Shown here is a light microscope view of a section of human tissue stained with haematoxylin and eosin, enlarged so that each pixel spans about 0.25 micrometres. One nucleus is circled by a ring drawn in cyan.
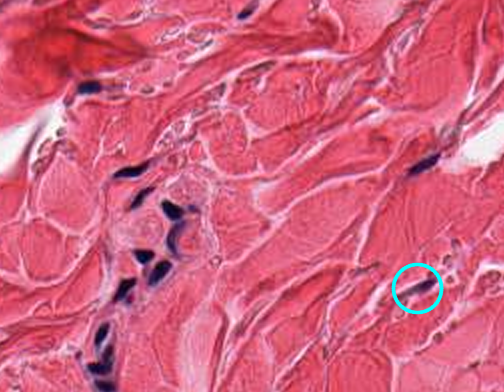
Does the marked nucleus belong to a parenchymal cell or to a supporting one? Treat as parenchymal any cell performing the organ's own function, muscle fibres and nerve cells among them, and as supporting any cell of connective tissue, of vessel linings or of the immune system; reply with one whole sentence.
The marked nucleus is held by a supporting cell.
